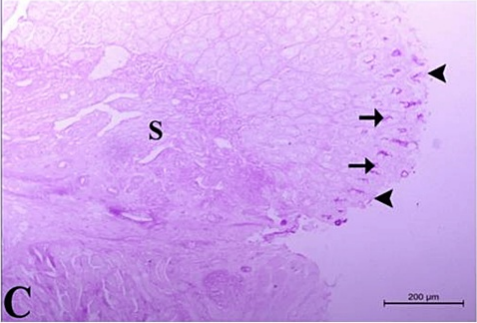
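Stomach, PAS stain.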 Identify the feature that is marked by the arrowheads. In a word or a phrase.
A: Very thin layer of mucous materials.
